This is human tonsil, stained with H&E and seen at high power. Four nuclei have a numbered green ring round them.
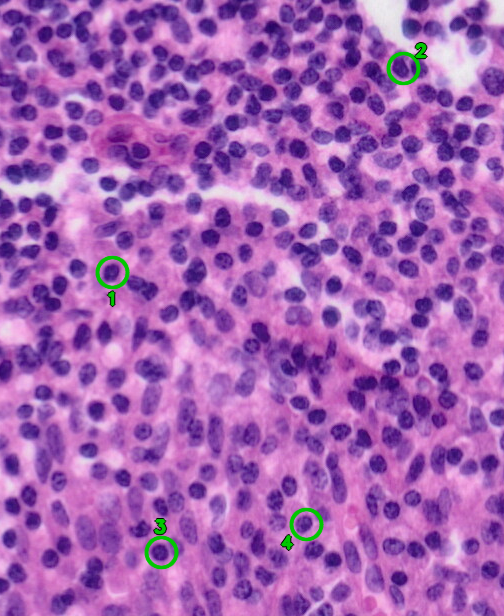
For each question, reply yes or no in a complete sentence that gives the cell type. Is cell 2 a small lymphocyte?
Yes, the numbered nucleus 2 is that of a small lymphocyte.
